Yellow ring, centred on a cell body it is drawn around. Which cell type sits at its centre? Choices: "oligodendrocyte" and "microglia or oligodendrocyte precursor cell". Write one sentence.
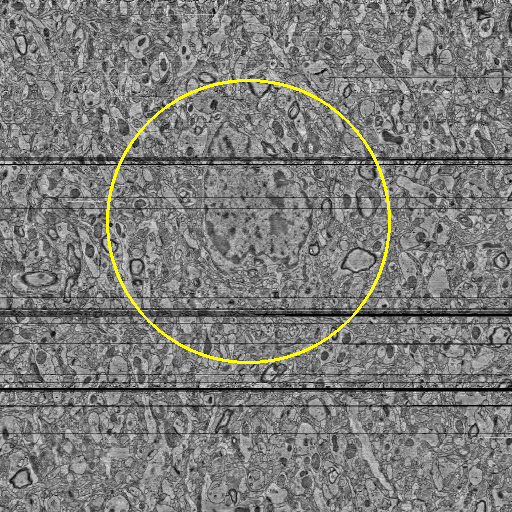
At the centre of the ring sits a microglial cell or oligodendrocyte precursor cell.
